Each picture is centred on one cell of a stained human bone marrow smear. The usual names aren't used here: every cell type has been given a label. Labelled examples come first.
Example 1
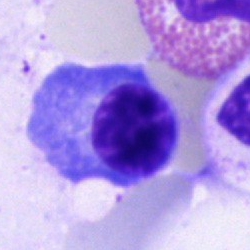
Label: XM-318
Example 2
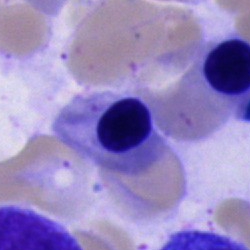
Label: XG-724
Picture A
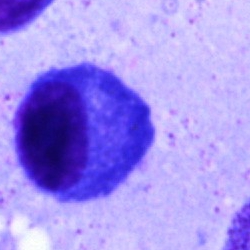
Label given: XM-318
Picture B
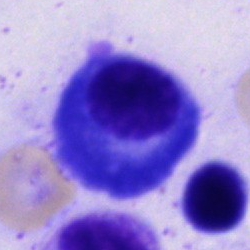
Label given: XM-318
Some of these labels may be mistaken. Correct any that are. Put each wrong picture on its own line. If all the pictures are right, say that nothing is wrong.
All correct.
